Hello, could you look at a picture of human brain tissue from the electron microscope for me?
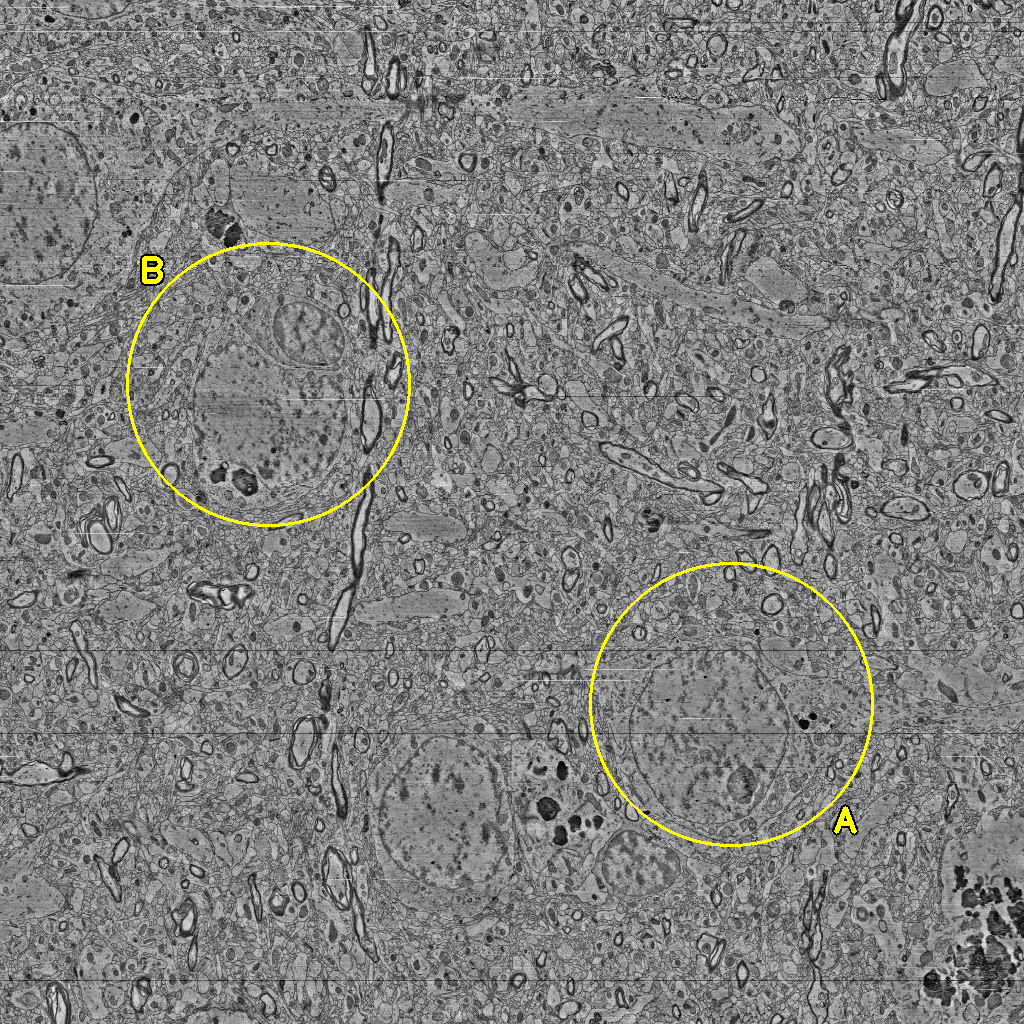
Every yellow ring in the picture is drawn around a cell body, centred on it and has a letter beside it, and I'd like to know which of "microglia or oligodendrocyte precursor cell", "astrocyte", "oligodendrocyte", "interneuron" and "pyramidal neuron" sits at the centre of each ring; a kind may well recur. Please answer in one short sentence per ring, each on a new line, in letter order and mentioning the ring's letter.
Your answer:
The cell sitting at the centre of ring A is a pyramidal neuron.
The cell sitting at the centre of ring B is an interneuron.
